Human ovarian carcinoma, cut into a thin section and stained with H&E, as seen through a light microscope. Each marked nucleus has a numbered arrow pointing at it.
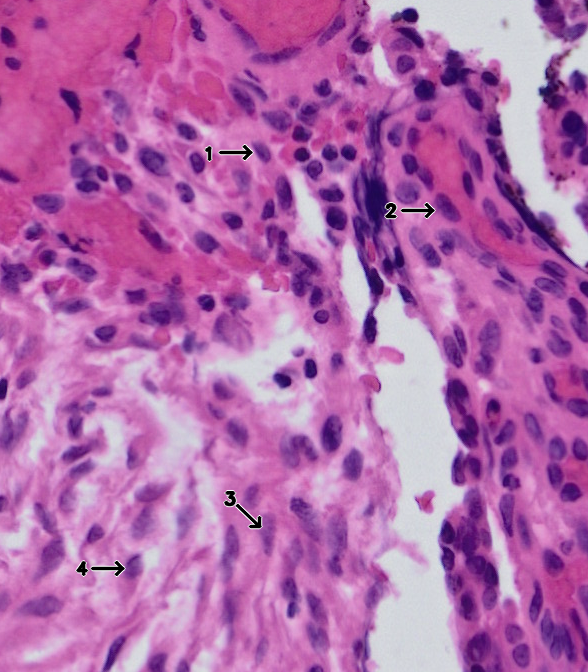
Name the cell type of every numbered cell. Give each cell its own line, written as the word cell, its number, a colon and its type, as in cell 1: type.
cell 1: fibroblast
cell 2: endothelial cell
cell 3: fibroblast
cell 4: fibroblast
